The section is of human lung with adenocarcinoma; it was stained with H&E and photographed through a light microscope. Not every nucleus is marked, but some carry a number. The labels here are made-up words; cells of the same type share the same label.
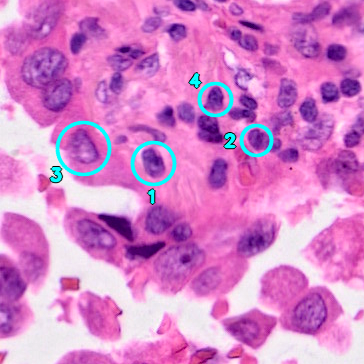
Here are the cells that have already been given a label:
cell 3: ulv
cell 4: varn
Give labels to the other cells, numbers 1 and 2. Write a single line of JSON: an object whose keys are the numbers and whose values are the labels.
{"1": "varn", "2": "varn"}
